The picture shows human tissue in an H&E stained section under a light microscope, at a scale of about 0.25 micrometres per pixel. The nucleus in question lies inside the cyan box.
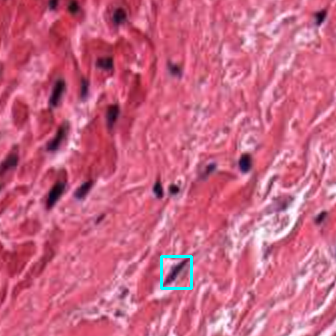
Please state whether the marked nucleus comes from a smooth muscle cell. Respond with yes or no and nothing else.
no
